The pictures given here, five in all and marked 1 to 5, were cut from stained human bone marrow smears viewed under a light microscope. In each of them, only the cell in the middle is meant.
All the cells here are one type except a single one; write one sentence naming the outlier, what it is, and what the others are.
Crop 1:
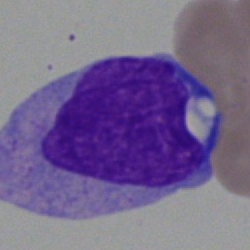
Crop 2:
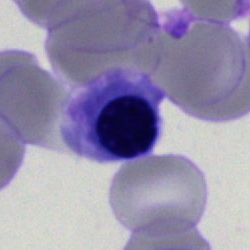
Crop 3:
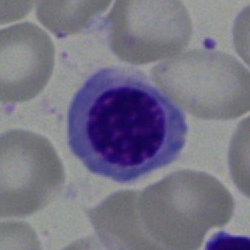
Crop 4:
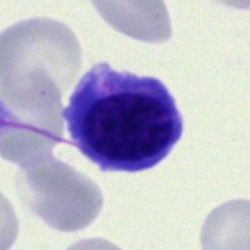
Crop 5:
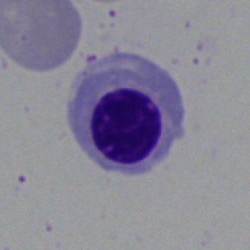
In this set, all crops show erythroblasts apart from crop 1, which is a blast.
